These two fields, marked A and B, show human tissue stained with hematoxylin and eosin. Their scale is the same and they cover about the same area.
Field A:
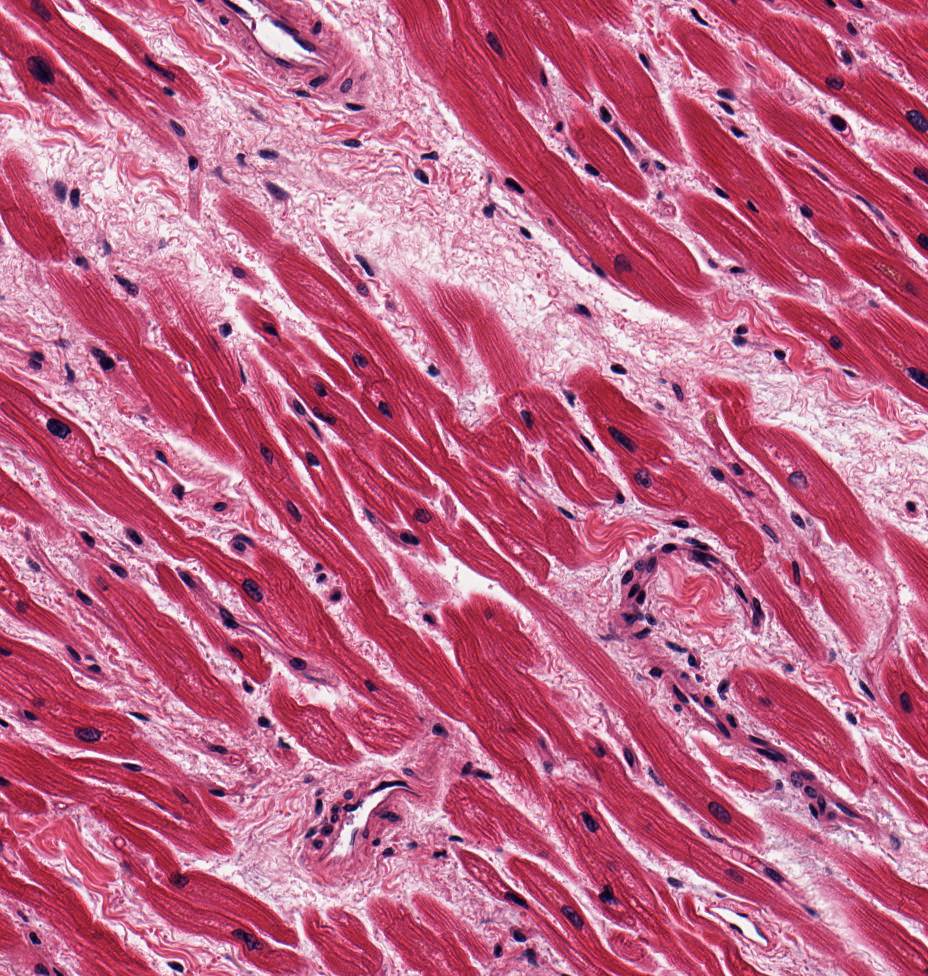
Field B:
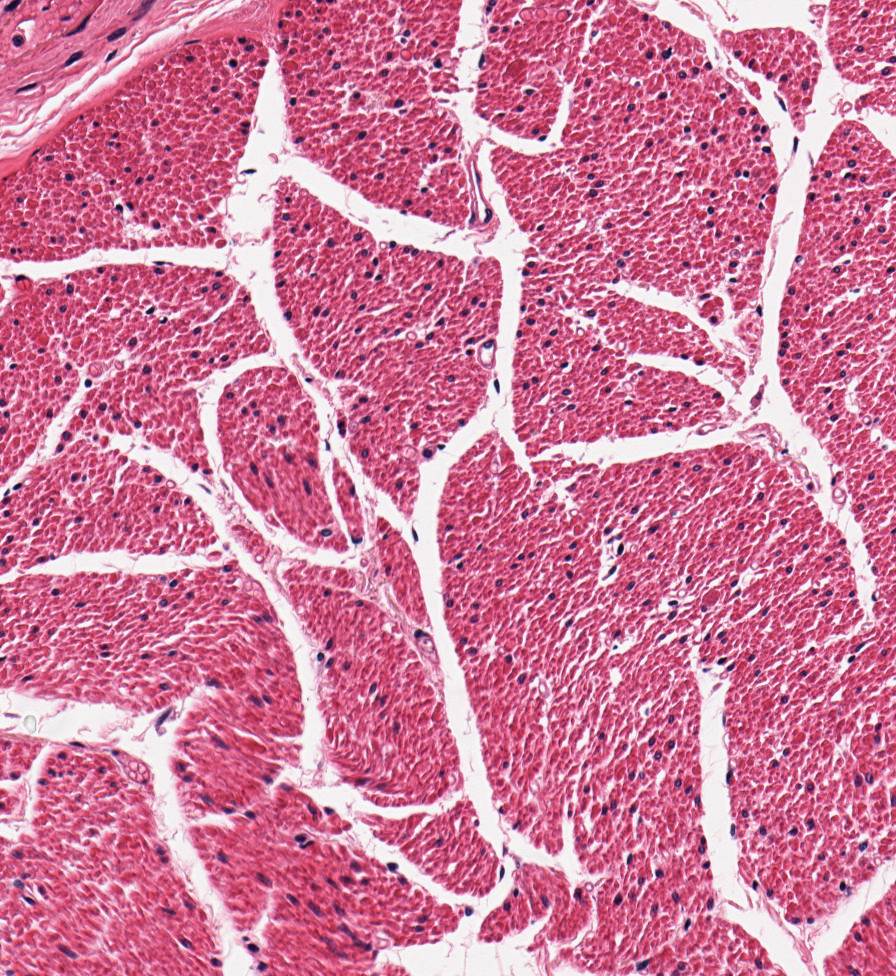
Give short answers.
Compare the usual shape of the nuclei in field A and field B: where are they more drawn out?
A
